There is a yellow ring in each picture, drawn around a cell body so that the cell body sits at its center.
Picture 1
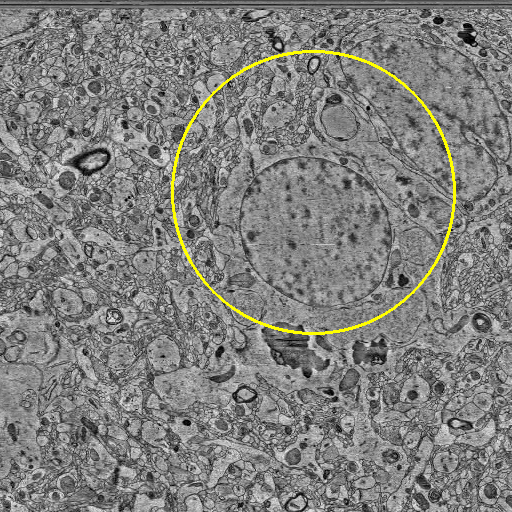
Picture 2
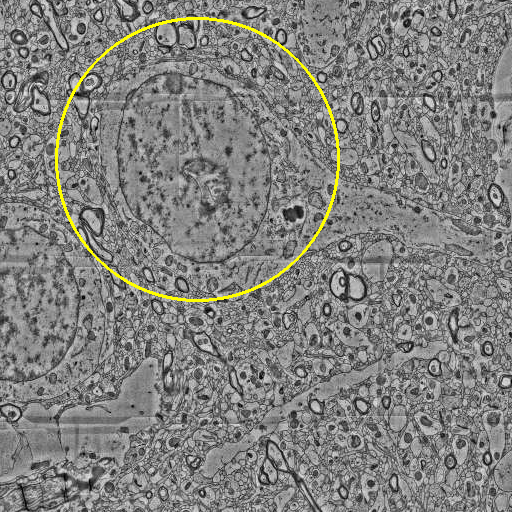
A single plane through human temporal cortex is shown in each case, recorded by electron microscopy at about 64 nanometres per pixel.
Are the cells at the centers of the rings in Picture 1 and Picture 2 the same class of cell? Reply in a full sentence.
No, the two cells are two classes of cell.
